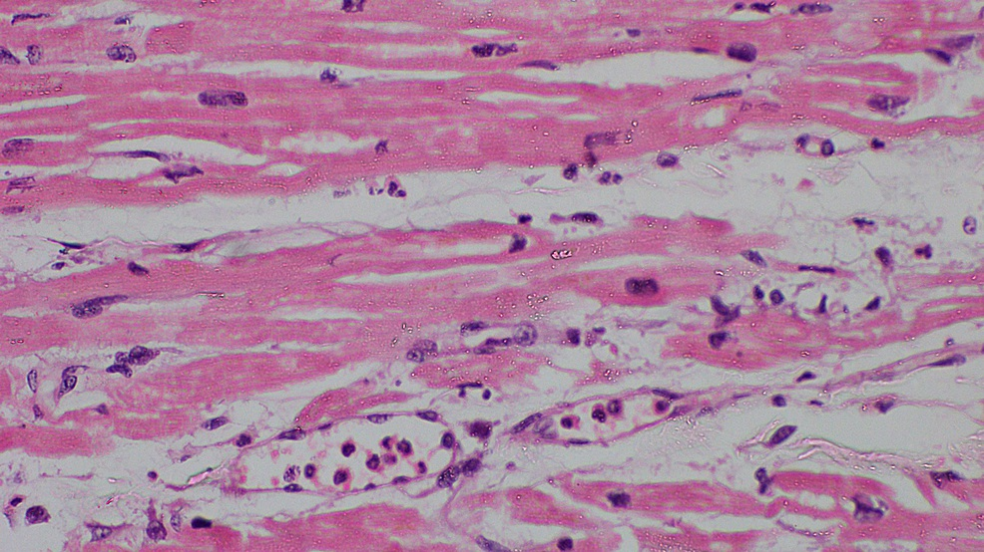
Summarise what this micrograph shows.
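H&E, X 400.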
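This is heart muscle (myocardium) with inflammation. Long eosinophilic pink cardiac muscle fibres run roughly horizontally, each with an oval, centrally placed nucleus, and some show branching. The interstitium between fibres is widened, pale and oedematous-looking. In the lower centre, thin-walled, dilated capillaries with flattened endothelial lining contain several round cells with dark, lobulated nuclei, consistent with neutrophils. Similar small cells with dark, segmented nuclei lie outside the vessels, scattered between the muscle fibres, forming an interstitial infiltrate. The muscle fibres themselves appear largely intact, without obvious loss of structure in this field.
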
